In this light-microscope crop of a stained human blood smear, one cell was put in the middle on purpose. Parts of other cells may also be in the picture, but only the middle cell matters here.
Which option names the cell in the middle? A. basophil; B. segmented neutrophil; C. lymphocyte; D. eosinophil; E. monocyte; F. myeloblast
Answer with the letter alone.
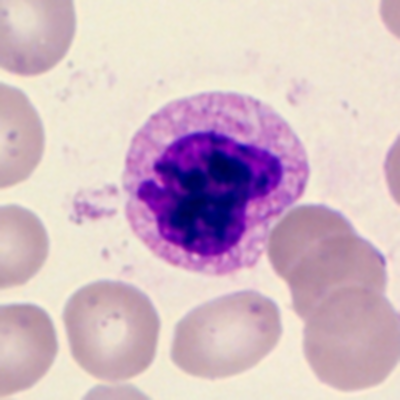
A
